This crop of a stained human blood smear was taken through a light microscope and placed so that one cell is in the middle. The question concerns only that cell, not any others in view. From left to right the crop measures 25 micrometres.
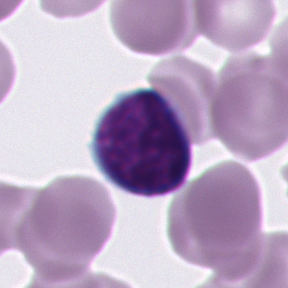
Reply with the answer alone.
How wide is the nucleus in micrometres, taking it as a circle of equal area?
8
